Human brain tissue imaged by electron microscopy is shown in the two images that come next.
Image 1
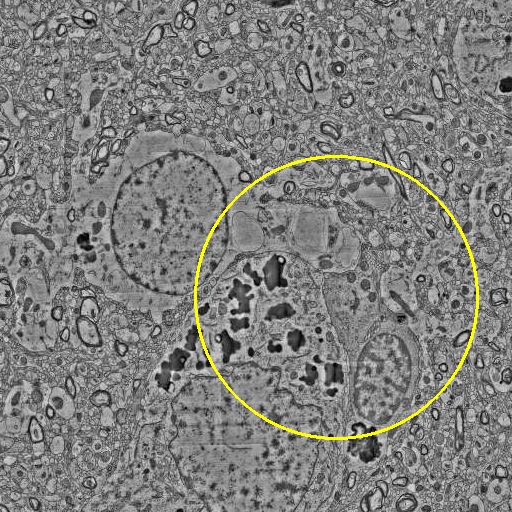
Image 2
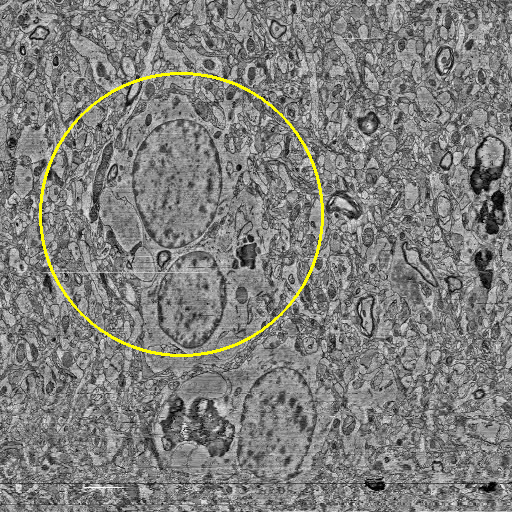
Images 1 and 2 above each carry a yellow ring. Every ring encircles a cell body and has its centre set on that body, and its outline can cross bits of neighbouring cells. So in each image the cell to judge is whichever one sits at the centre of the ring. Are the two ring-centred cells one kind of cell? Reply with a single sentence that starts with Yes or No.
No, in Image 1 and Image 2 the cells at the centres of their rings fall into two types.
